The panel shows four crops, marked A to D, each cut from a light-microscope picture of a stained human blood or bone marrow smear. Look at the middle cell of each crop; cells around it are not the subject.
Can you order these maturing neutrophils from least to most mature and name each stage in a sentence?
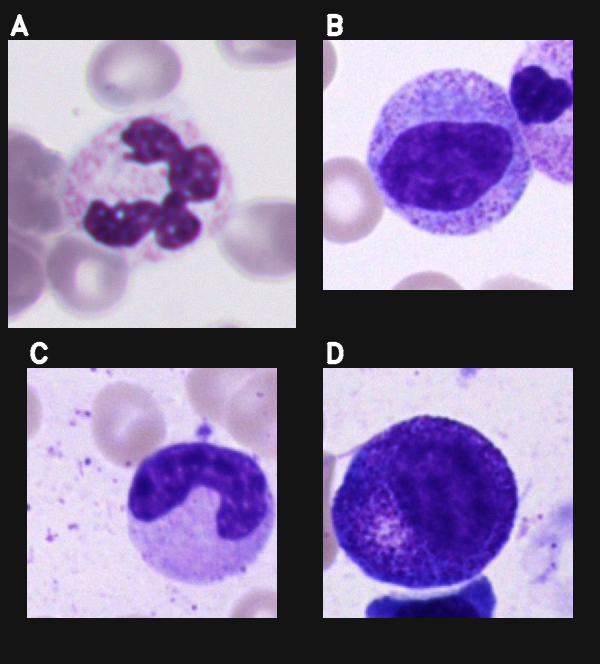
From earliest to most mature stage, the crops go crop D (a promyelocyte), crop B (a myelocyte), crop C (a band neutrophil) and crop A (a segmented neutrophil).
